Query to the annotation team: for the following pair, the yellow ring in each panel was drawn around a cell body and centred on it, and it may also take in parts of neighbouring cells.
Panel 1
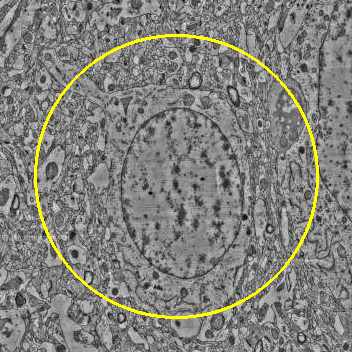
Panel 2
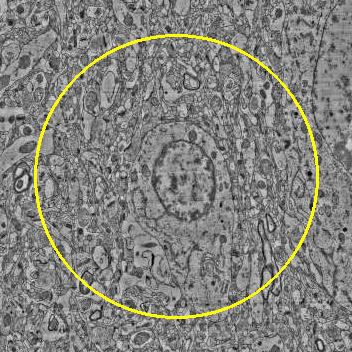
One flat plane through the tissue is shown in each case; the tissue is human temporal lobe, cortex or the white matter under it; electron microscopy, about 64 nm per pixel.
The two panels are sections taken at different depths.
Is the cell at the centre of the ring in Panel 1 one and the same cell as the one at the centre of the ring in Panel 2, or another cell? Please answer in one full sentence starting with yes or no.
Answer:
Yes, the first and second rings frame the same single cell.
